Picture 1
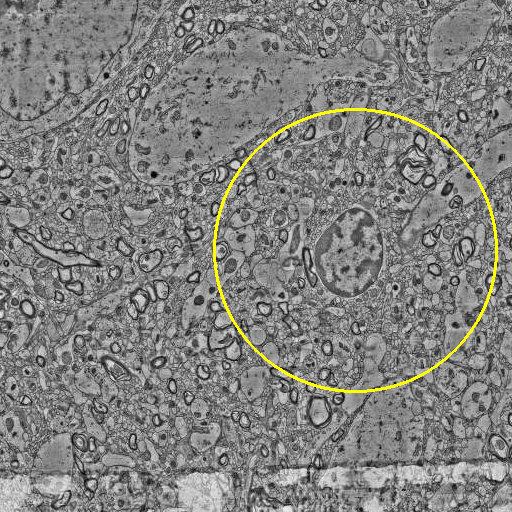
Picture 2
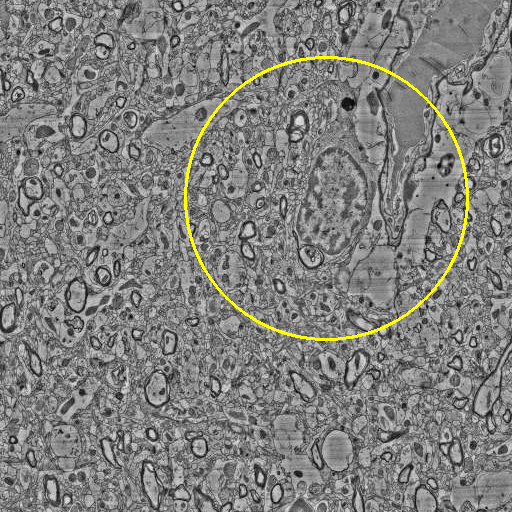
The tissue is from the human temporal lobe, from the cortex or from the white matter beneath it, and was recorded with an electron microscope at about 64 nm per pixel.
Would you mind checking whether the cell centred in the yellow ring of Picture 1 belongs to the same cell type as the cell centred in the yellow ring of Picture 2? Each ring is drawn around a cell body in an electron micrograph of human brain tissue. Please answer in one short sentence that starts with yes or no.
No, the two cells are of two types.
